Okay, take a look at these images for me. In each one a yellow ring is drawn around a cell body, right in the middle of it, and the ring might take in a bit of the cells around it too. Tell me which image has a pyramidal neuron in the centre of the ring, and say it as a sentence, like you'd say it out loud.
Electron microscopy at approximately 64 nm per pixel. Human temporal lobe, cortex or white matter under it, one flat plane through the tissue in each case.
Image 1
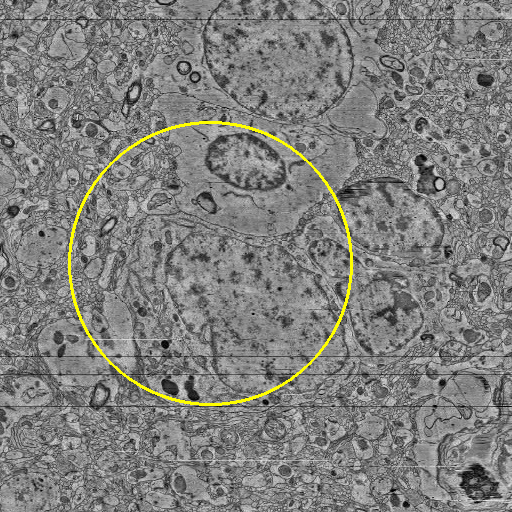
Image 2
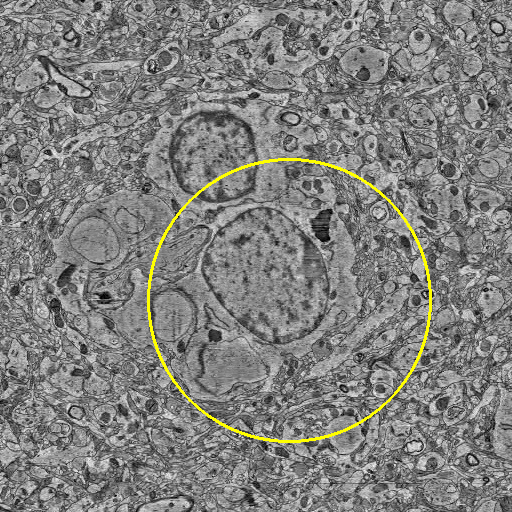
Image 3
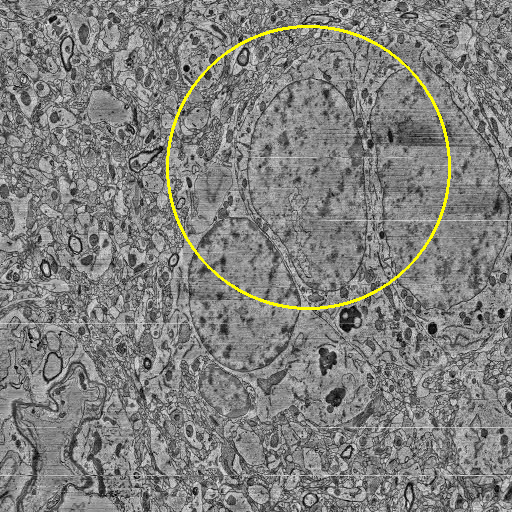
Image 3 is the one with it in the centre of the ring.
